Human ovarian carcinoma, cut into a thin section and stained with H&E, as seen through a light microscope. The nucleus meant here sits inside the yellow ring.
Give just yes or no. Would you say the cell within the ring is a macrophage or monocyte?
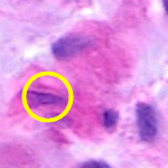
no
